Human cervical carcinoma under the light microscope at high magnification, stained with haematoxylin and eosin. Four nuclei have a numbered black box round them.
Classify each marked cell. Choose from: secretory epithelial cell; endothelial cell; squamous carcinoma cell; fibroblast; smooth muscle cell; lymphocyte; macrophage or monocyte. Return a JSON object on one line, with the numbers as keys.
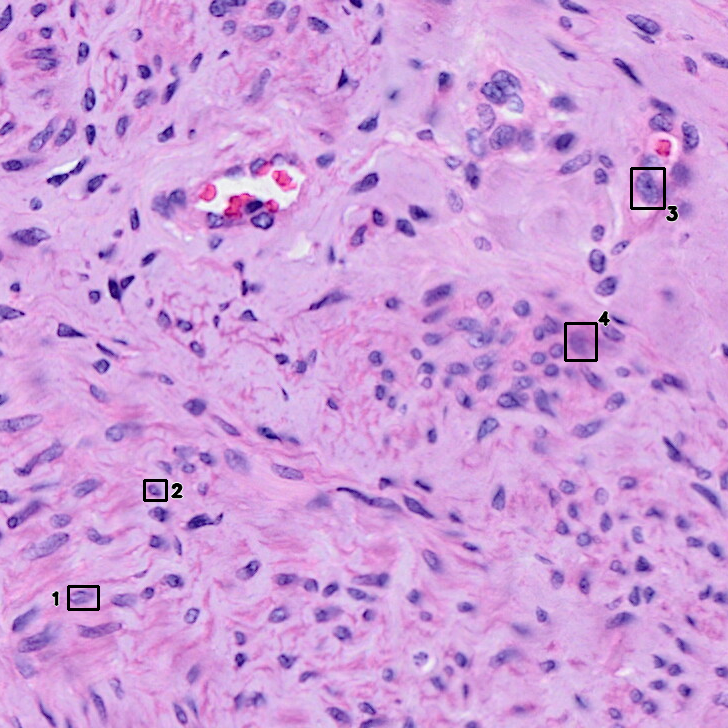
{"1": "smooth muscle cell", "2": "smooth muscle cell", "3": "endothelial cell", "4": "smooth muscle cell"}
